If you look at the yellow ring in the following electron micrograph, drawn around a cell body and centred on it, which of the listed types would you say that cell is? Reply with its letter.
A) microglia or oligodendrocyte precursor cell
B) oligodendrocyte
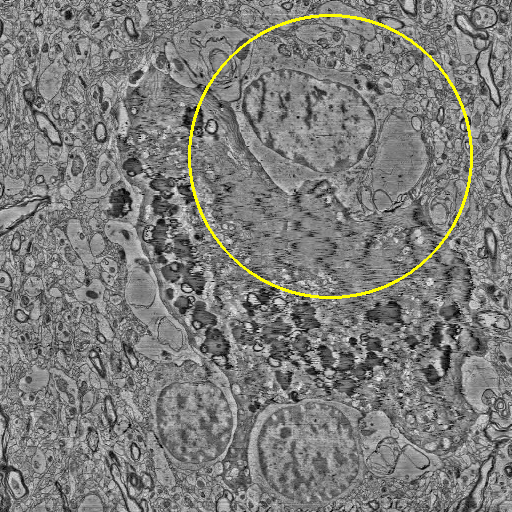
A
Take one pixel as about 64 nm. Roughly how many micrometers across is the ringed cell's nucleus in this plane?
About 9 by 6 micrometers, in this plane.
